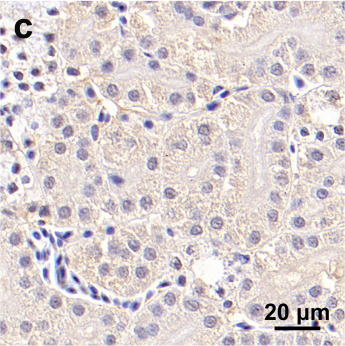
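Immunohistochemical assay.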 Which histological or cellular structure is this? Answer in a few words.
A: Tubules.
